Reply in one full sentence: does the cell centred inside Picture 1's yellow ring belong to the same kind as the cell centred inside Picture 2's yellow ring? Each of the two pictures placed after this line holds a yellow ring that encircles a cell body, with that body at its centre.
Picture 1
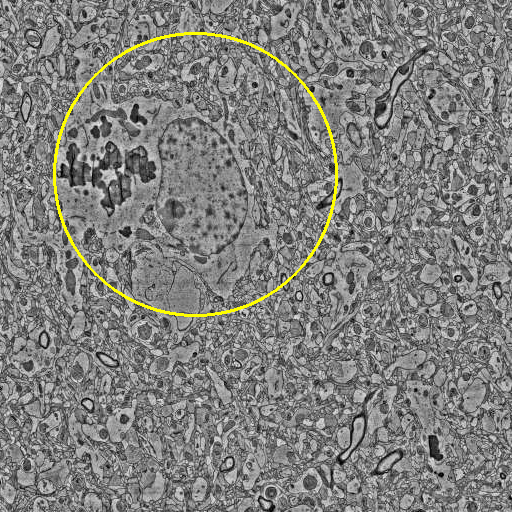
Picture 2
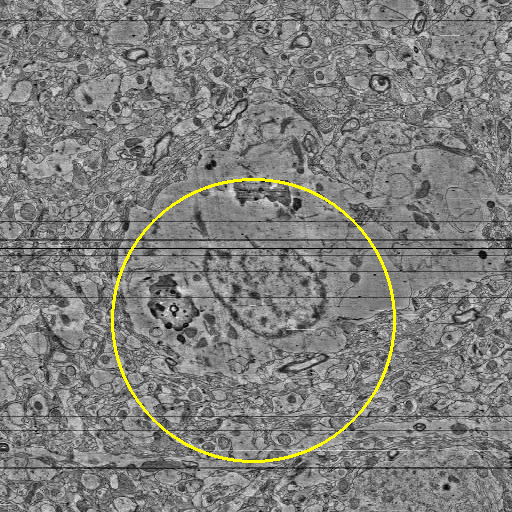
Yes, the ring-centred cells in Picture 1 and Picture 2 are of one and the same kind.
